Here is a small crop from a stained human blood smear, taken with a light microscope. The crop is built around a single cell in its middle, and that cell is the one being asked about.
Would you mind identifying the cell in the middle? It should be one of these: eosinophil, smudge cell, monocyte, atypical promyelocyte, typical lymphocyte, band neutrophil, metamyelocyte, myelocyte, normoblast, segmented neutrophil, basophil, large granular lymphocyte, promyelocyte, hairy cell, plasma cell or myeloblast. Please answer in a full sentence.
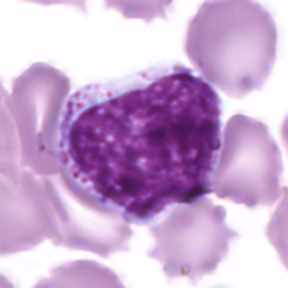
The cell under consideration, at the middle of the crop, is a myelocyte.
